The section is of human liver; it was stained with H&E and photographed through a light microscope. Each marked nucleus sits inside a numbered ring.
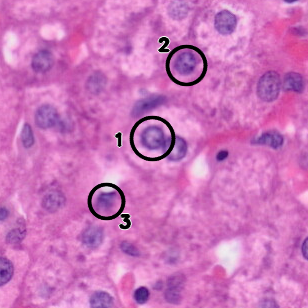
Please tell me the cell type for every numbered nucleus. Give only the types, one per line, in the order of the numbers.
hepatocyte
hepatocyte
endothelial cell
